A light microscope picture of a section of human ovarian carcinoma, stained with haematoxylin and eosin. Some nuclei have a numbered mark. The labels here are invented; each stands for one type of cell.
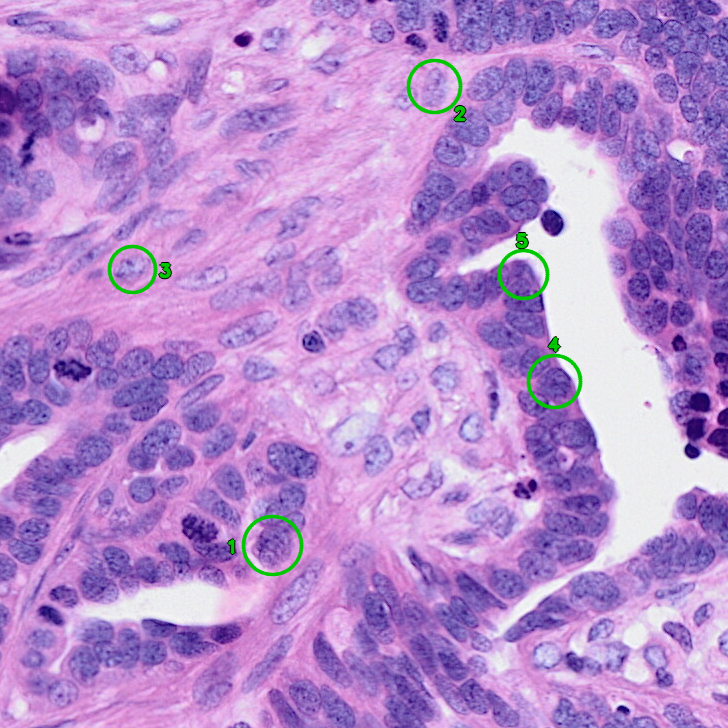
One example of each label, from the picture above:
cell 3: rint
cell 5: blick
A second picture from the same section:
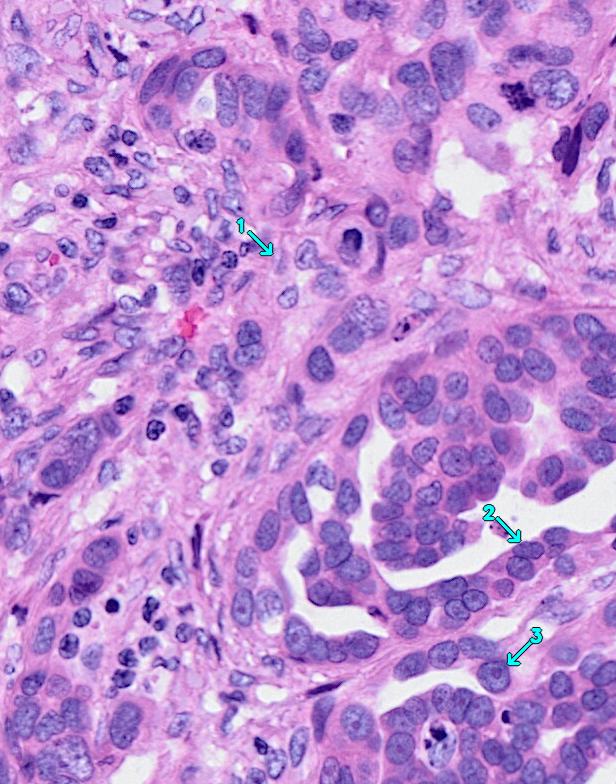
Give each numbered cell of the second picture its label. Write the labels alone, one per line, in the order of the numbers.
rint
blick
blick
